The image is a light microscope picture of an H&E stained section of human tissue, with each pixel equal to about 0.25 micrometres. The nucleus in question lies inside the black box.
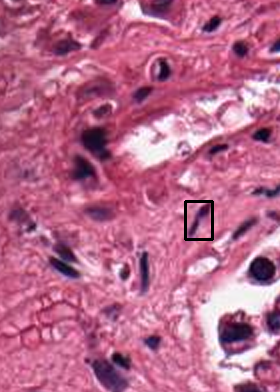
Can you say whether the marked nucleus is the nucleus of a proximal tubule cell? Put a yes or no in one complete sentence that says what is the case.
No, the marked nucleus is not borne by a proximal tubule cell; it is borne by a supporting cell.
